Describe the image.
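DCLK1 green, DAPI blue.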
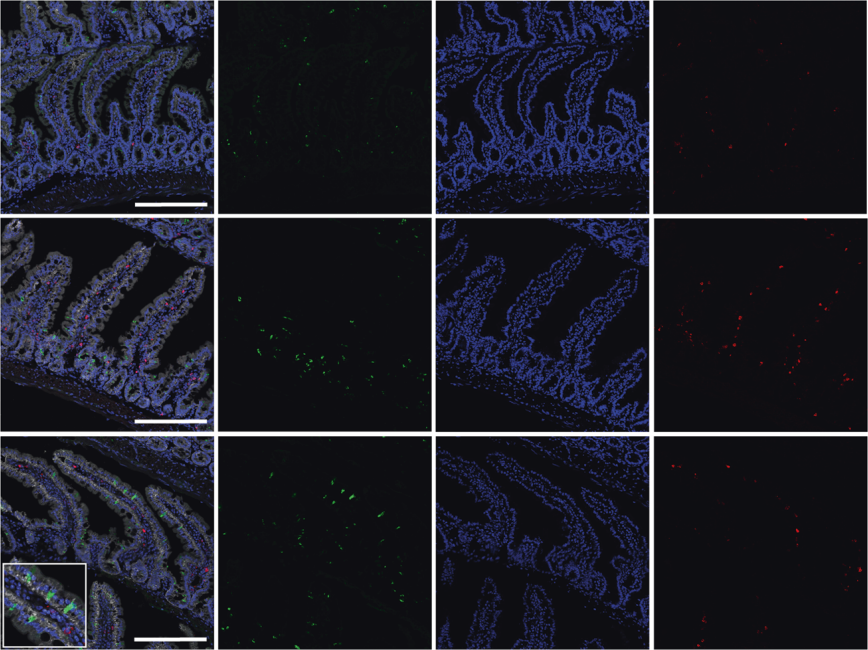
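A grid of fluorescence images of small intestine, each showing long finger-like villi rising from a base of crypts and muscle, with the merged image beside its separate colour channels. The blue nuclei outline a single-layered epithelium covering each villus and a looser core inside. Sparse, isolated green cells lie scattered within the epithelial lining, some elongated and spanning the layer, as the enlarged inset shows; these are intestinal tuft cells. Small red dots sit mostly in the villus cores, beneath the epithelium. The rows differ in how many green cells line each villus, with the lower rows showing more of them than the top row.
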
